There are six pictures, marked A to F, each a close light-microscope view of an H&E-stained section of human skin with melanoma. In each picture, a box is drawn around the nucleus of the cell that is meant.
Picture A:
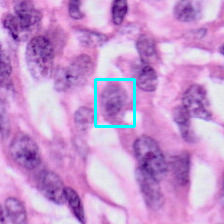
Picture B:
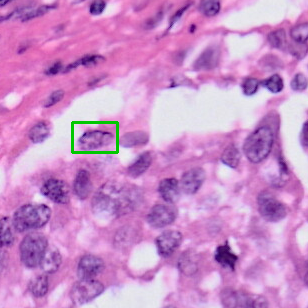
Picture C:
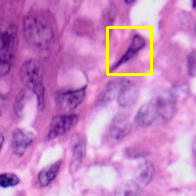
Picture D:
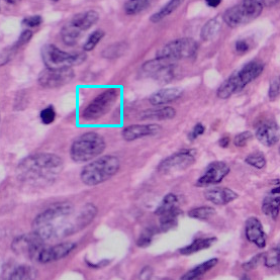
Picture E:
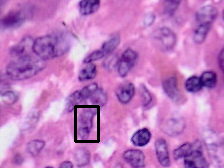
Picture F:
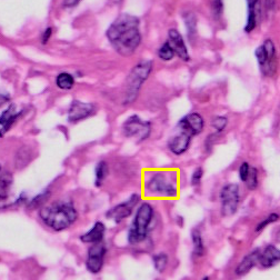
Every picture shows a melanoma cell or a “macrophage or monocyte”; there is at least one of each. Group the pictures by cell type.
A: melanoma cell
B: macrophage or monocyte
C: macrophage or monocyte
D: melanoma cell
E: melanoma cell
F: macrophage or monocyte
